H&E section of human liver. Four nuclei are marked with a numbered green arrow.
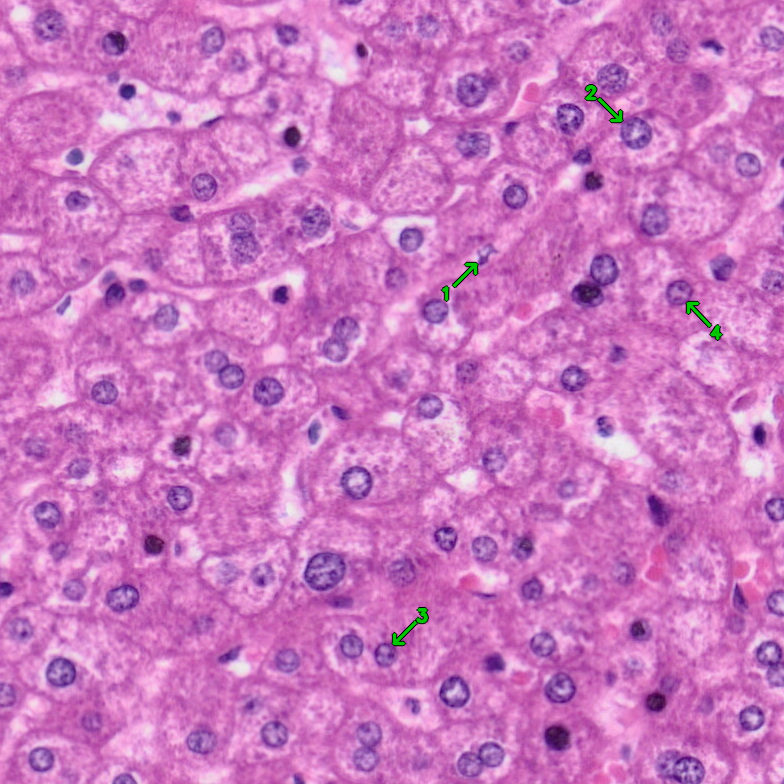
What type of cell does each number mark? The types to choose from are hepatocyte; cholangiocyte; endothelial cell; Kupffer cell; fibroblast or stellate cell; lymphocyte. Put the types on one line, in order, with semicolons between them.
endothelial cell; hepatocyte; hepatocyte; hepatocyte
